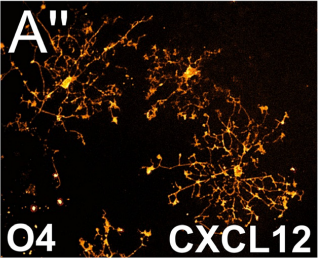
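Cultured oligodendroglial cells labelled orange on a dark ground, each with a small, bright cell body from which many fine processes radiate. The processes branch again and again into dense, bushy arbours, with small beads along their length and tufted ends. A few smaller, less branched fragments lie at the margins.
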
